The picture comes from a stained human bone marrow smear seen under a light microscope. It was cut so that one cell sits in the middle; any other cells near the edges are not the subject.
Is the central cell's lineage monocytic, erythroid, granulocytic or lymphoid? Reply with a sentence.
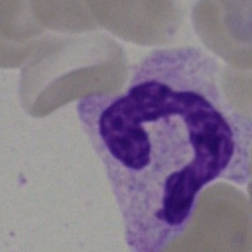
Regarding its lineage, the centered cell is granulocytic.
